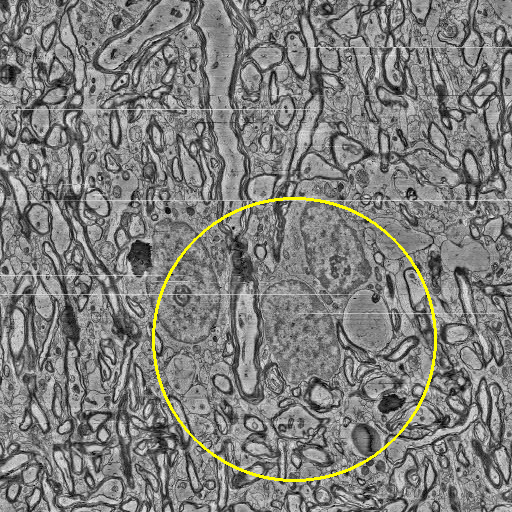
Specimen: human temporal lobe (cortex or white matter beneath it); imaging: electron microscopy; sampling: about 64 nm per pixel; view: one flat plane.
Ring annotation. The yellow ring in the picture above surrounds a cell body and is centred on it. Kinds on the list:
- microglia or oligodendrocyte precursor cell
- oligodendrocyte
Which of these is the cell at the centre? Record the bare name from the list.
oligodendrocyte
